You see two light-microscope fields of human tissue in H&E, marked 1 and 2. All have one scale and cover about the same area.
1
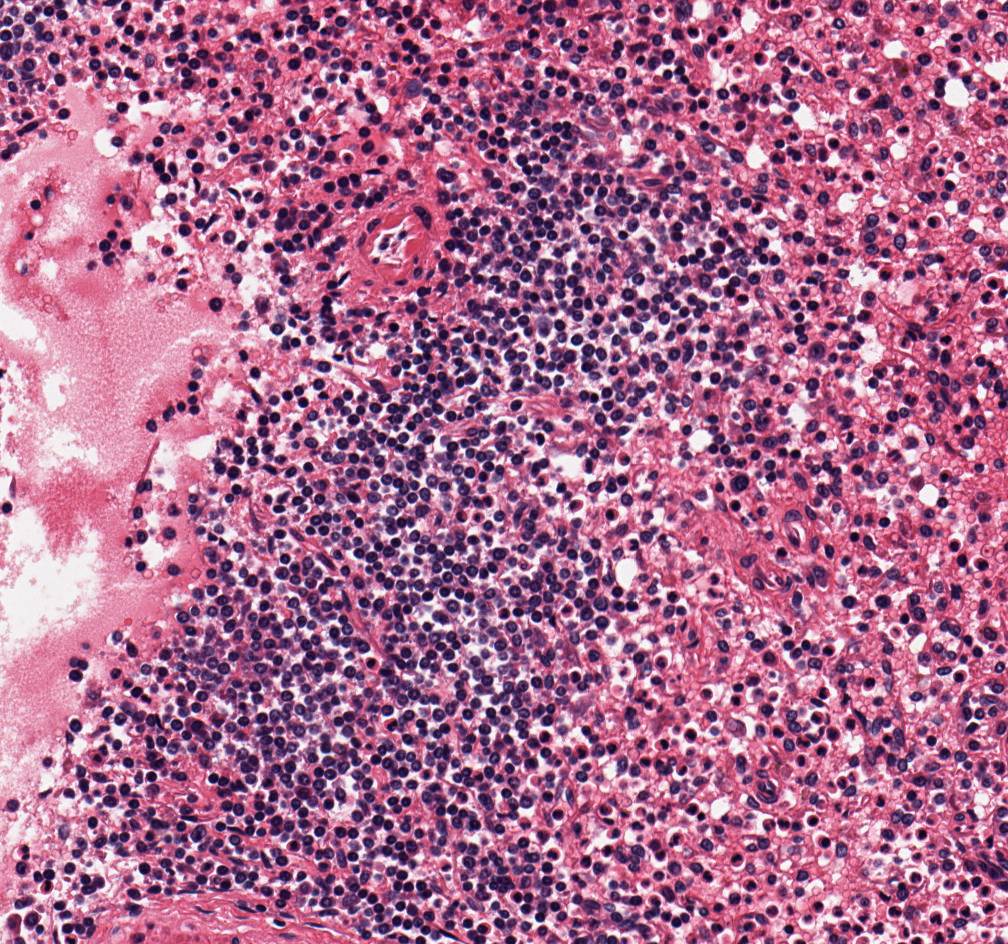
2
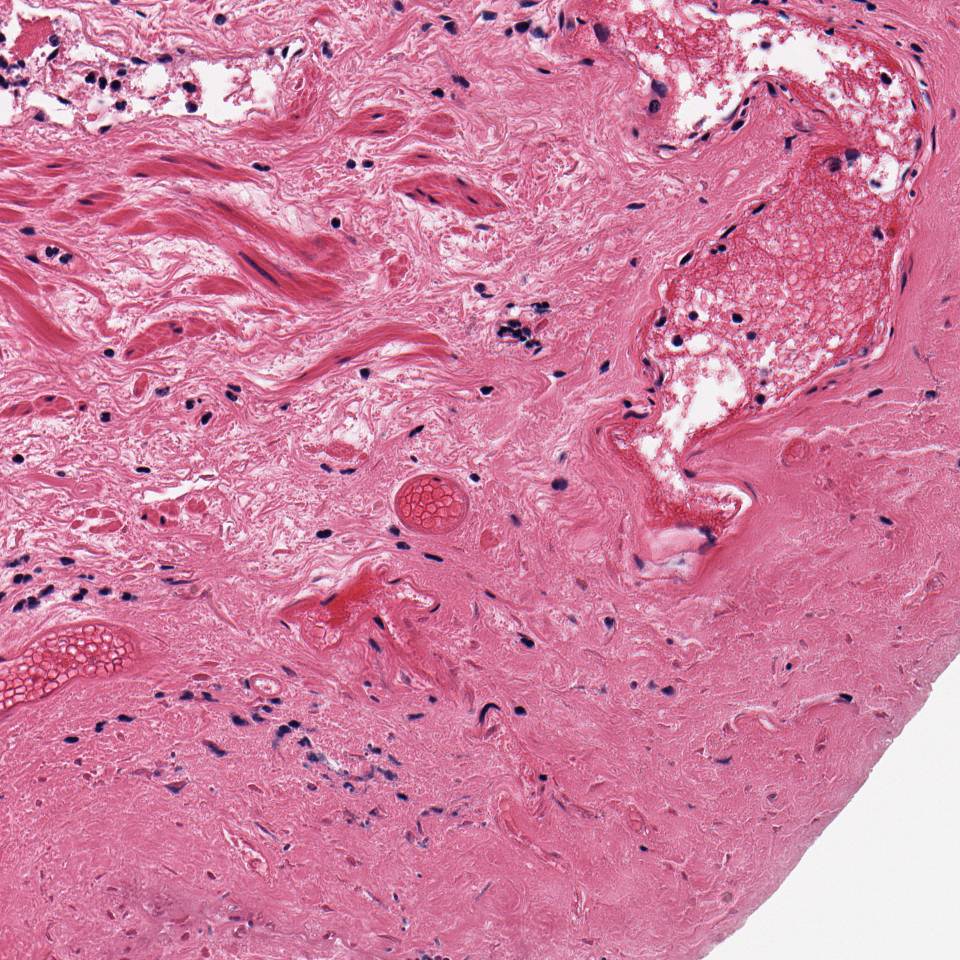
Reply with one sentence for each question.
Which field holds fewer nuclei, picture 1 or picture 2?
Fewer nuclei lie in picture 2 than in picture 1.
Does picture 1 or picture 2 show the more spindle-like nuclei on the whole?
It is picture 2 whose nuclei are the more elongated.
